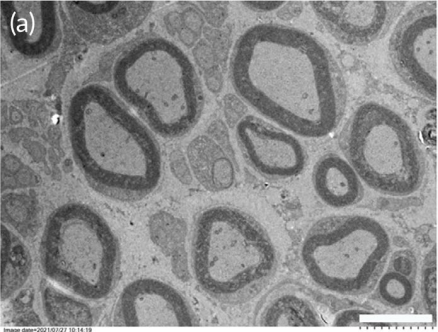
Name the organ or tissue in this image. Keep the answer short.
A: Nerve.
